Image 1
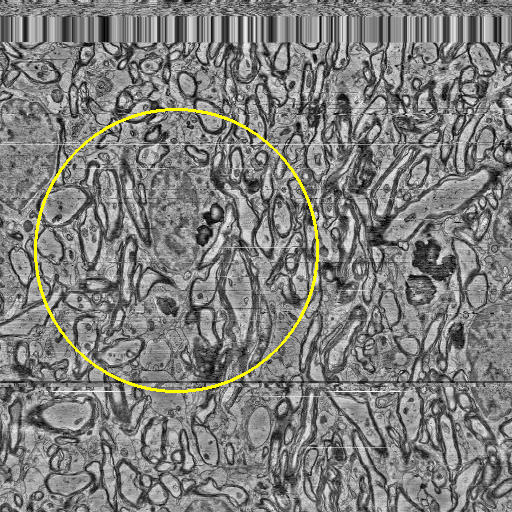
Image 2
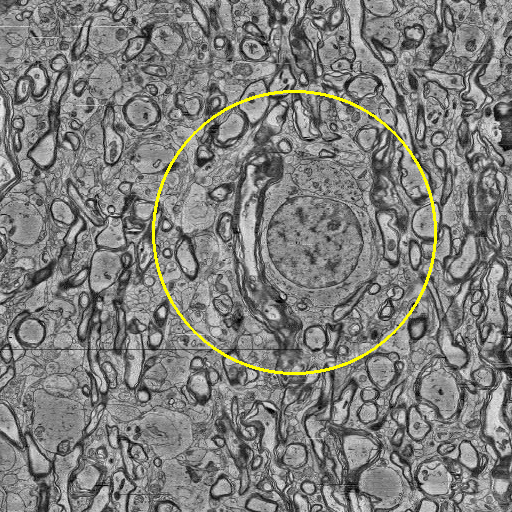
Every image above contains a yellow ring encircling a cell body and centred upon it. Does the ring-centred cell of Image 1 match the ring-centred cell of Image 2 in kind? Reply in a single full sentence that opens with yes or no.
No, the cell at the ring's centre in Image 1 is a separate kind from that in Image 2.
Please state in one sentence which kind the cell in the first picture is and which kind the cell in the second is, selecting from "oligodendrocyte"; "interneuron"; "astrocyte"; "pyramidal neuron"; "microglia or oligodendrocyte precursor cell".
The first ringed cell is an oligodendrocyte, the second ringed cell a microglial cell or oligodendrocyte precursor cell.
